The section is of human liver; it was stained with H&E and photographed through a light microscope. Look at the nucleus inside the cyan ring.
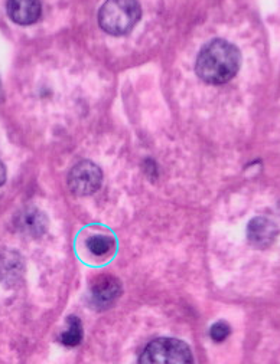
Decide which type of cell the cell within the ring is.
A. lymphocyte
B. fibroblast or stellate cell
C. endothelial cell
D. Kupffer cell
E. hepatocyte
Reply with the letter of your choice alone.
A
